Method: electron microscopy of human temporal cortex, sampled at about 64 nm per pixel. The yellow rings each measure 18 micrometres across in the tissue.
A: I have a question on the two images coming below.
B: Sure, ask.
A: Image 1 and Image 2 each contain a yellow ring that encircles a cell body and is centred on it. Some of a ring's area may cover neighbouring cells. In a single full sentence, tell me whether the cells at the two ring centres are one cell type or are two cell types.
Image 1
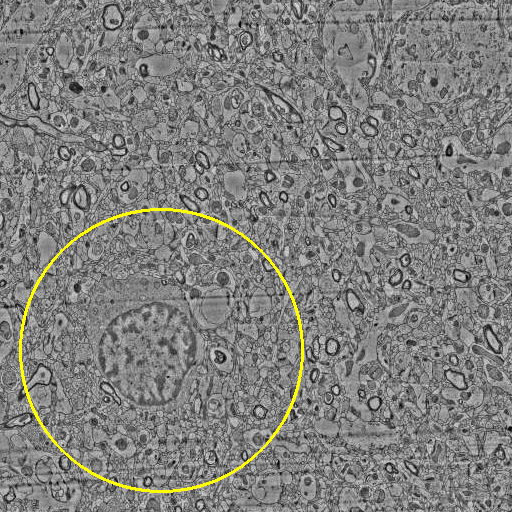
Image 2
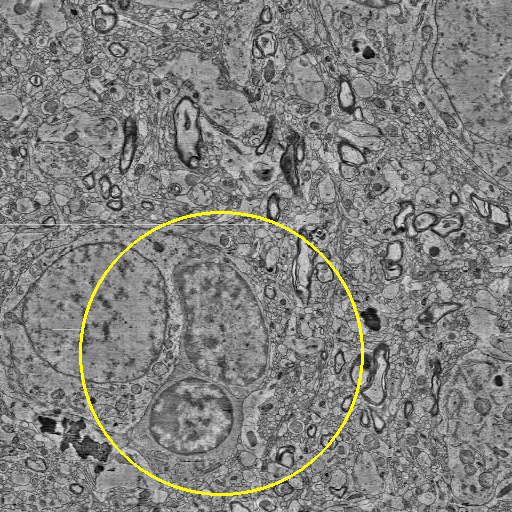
As for the ring-centre cells, the one in Image 1 and the one in Image 2 are one cell type.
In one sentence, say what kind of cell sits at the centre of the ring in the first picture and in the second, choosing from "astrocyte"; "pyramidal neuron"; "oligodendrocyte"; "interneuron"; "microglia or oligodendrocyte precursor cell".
The ring centre holds an oligodendrocyte in each of the two pictures.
